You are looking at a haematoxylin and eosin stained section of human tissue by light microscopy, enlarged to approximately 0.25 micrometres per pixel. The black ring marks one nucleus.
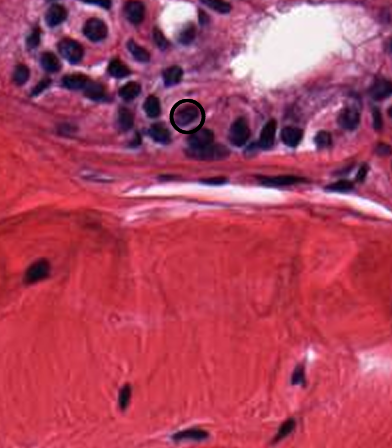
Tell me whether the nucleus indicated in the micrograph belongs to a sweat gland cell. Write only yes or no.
yes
